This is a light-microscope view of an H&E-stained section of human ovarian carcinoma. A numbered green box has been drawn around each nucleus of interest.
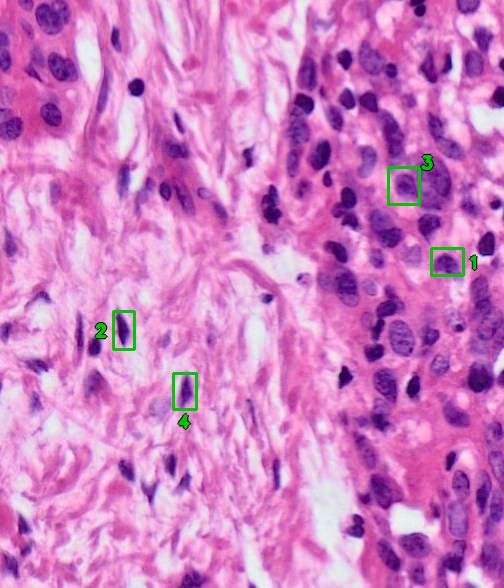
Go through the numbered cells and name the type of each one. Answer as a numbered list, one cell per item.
1. macrophage or monocyte
2. fibroblast
3. carcinoma cell
4. fibroblast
